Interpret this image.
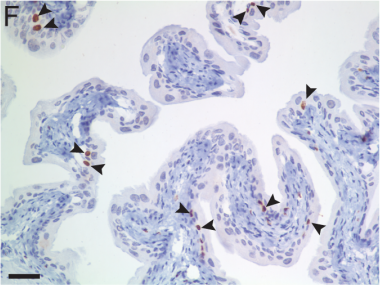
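This is folded bladder urothelium on cores of connective tissue, counterstained blue, with scattered brown-stained nuclei marked by arrowheads. The brown nuclei sit mostly in the lower layers of the epithelium near the connective tissue, singly or in pairs, at several places along the folds. The stroma beneath contains spindle cells with elongated nuclei.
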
